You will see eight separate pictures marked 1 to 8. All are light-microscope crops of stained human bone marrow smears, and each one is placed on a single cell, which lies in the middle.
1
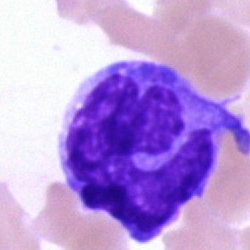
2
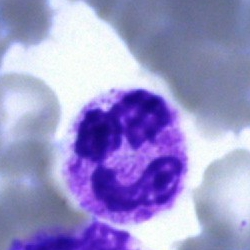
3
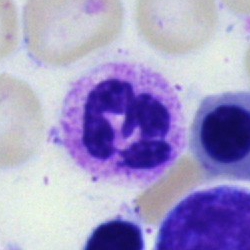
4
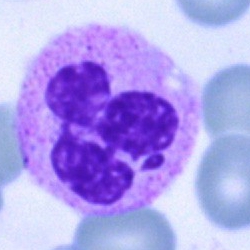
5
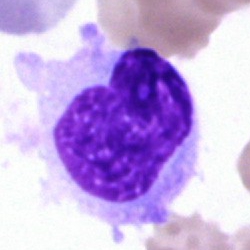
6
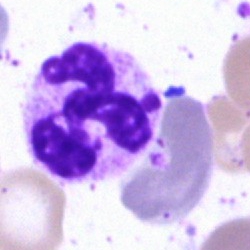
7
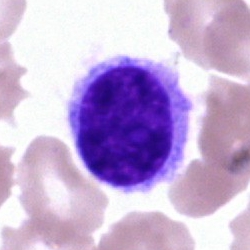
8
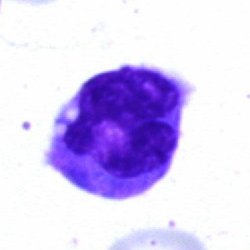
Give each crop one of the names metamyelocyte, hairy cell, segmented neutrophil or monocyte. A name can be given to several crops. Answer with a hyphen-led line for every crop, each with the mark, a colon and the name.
- 1: monocyte
- 2: segmented neutrophil
- 3: segmented neutrophil
- 4: segmented neutrophil
- 5: hairy cell
- 6: segmented neutrophil
- 7: hairy cell
- 8: monocyte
